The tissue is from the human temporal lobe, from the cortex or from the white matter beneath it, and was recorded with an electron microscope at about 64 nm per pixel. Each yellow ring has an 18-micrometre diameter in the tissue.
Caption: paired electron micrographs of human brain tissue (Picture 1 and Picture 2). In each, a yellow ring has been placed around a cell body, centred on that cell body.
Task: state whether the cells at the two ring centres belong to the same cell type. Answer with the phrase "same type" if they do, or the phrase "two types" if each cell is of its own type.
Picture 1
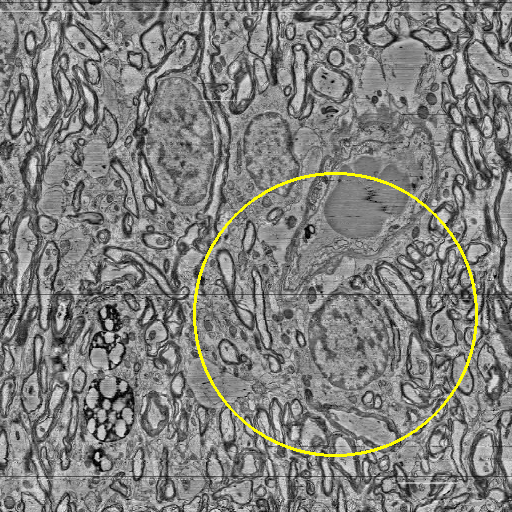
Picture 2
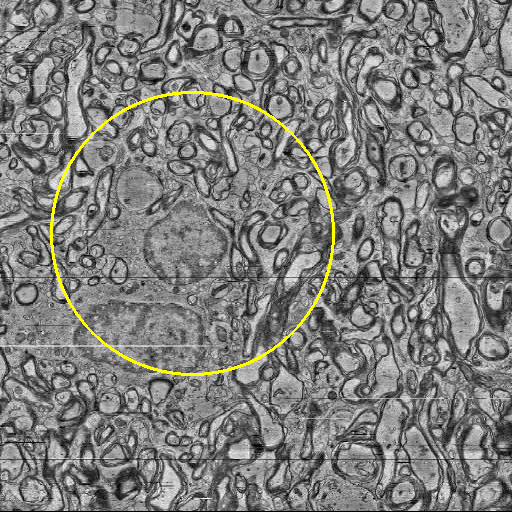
same type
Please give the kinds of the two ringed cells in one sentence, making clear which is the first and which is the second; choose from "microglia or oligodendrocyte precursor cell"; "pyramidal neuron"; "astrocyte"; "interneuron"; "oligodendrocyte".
Both rings mark an oligodendrocyte, one in each picture.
